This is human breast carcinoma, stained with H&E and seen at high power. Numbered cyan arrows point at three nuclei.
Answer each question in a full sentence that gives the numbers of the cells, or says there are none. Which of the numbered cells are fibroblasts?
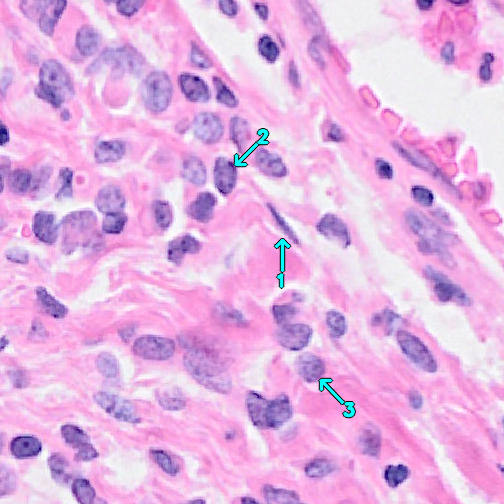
Only the cell numbered 1 is a fibroblast, and the others are something else.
